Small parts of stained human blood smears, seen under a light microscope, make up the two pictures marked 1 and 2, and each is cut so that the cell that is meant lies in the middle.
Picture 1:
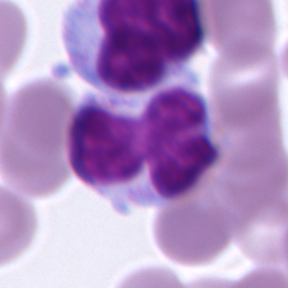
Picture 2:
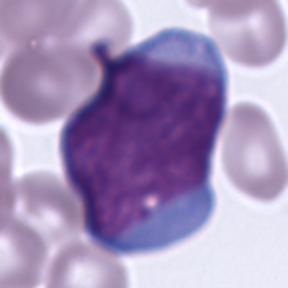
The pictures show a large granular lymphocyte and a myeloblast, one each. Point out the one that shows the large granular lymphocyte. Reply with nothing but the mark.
1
